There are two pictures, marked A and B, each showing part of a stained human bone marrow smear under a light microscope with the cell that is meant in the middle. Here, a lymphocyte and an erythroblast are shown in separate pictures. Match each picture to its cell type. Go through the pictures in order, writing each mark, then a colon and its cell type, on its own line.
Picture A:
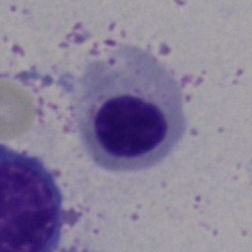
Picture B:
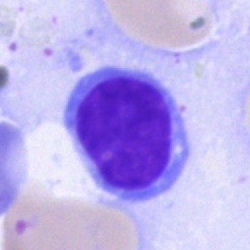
A: erythroblast
B: lymphocyte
